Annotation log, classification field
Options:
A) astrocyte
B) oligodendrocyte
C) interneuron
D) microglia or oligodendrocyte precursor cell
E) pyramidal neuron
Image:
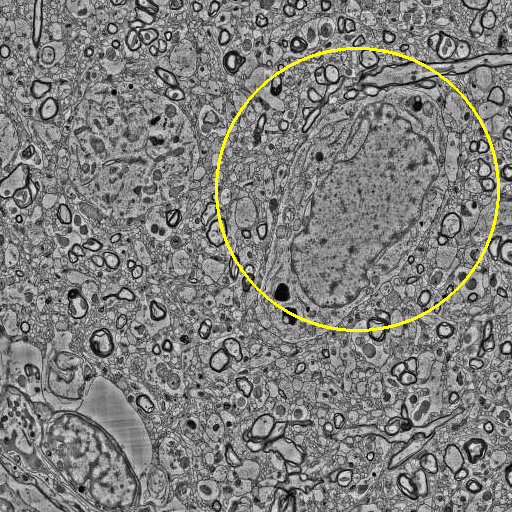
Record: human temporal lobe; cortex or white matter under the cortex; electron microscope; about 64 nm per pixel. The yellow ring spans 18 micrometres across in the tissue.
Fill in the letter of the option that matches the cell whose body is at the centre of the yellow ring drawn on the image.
C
